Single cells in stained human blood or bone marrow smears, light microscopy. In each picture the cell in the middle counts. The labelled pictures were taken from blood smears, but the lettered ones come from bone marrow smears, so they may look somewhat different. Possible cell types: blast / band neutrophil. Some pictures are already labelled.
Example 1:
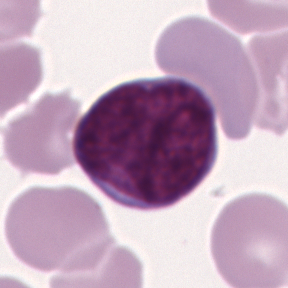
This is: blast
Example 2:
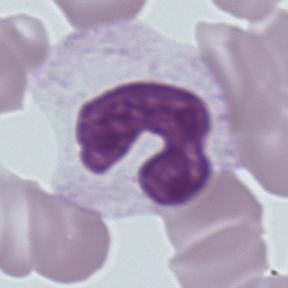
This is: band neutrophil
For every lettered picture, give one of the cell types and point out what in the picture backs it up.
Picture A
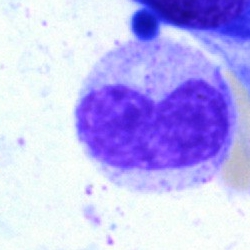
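Answer: band neutrophil. The chromatin is coarse and clumped, with paler patches between darker areas.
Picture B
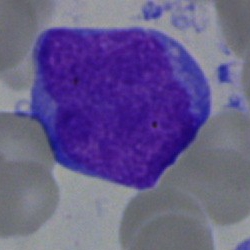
Answer: blast. The cytoplasm forms only a narrow rim around the nucleus.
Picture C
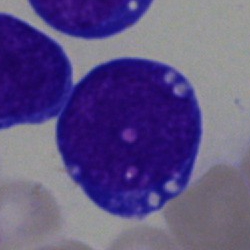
Answer: blast. The chromatin looks finely stippled rather than coarsely clumped.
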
